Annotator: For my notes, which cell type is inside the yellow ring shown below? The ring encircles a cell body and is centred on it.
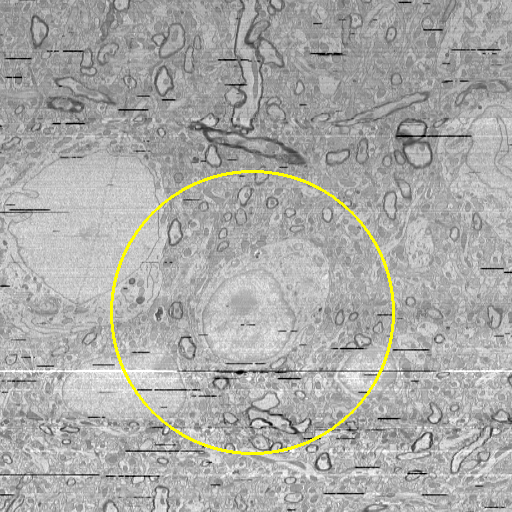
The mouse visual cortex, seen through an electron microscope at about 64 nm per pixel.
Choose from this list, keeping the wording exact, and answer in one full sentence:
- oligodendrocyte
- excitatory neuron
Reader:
At the centre of the yellow ring there is an oligodendrocyte, as shown in the picture.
